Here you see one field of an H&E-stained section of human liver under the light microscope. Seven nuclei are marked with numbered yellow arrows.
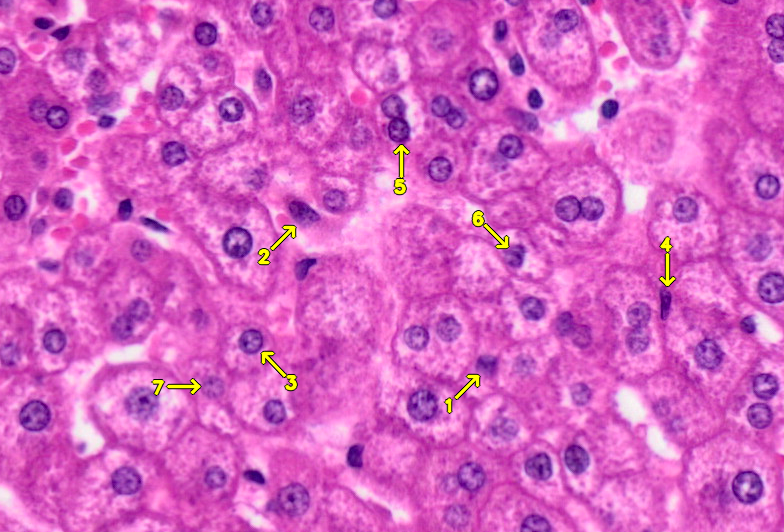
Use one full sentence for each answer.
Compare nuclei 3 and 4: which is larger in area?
Nucleus 3 is the larger one, covering about 1.5 times the area of nucleus 4.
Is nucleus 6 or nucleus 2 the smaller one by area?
Nucleus 6 covers less area, with nucleus 2 about 1.5 times as large.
